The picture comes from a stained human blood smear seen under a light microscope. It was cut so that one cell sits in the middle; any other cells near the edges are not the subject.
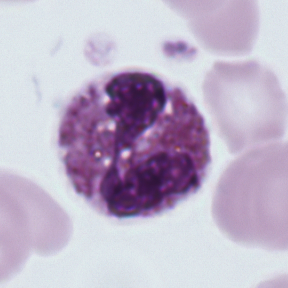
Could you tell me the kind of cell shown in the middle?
eosinophil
